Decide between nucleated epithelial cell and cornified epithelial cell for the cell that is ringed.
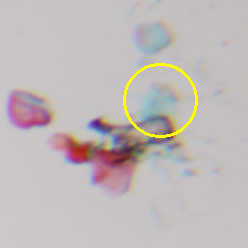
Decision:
I take the ringed cell for a cornified epithelial cell.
